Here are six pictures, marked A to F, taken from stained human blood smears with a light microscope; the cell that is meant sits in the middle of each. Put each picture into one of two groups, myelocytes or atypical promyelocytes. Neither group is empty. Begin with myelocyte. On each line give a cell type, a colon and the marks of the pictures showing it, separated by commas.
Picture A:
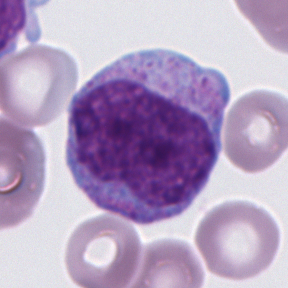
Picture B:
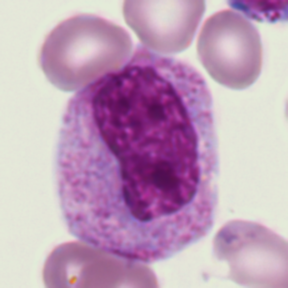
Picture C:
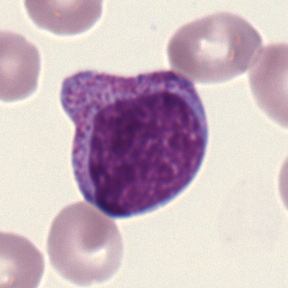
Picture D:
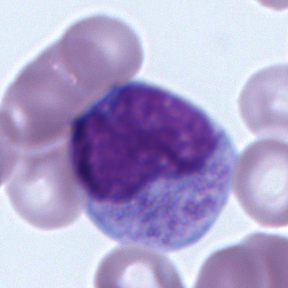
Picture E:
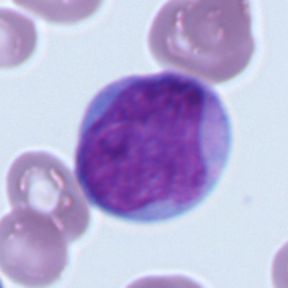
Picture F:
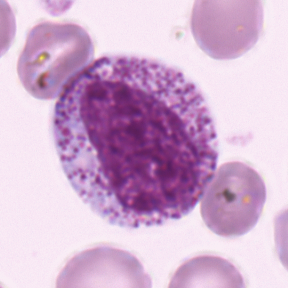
myelocyte: B, D, F
atypical promyelocyte: A, C, E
